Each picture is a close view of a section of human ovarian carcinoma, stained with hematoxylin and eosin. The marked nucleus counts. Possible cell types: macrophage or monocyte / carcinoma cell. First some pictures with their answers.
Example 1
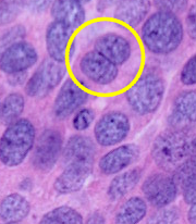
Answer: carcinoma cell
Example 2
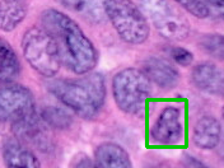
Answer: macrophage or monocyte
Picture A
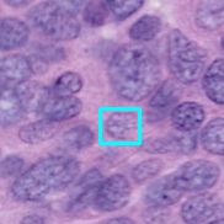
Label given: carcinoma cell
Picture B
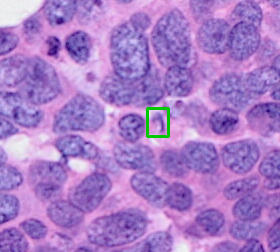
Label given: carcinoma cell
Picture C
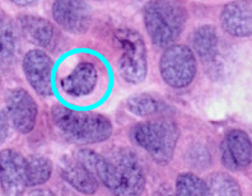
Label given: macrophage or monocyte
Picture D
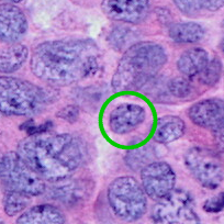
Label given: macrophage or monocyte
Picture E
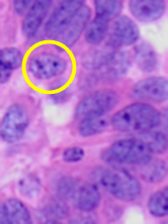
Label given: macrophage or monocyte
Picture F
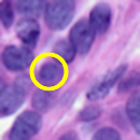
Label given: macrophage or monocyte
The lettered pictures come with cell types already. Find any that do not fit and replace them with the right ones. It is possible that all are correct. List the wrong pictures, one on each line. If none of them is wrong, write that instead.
B: change carcinoma cell to macrophage or monocyte
F: change macrophage or monocyte to carcinoma cell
